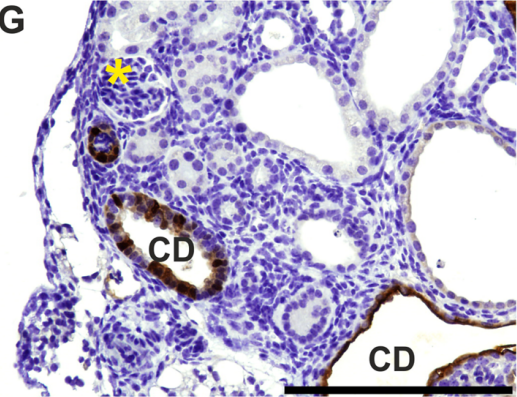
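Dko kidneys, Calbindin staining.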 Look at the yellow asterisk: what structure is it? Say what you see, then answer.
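Glomeruli. A small round cluster of packed nuclei near the outer edge of the tissue.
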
